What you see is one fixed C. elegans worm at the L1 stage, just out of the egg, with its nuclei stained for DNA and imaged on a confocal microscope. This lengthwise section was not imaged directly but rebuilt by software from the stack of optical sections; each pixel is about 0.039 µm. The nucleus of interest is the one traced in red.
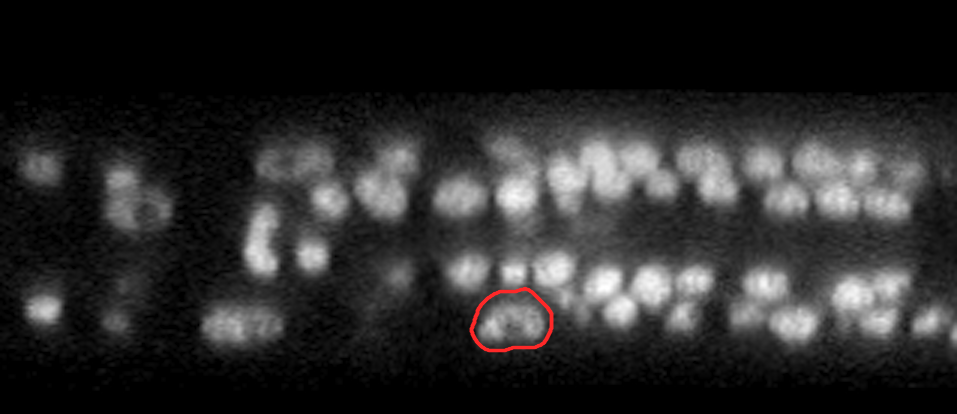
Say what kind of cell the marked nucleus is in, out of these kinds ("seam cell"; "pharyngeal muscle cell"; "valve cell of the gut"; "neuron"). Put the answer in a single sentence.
This is the nucleus of a seam cell.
